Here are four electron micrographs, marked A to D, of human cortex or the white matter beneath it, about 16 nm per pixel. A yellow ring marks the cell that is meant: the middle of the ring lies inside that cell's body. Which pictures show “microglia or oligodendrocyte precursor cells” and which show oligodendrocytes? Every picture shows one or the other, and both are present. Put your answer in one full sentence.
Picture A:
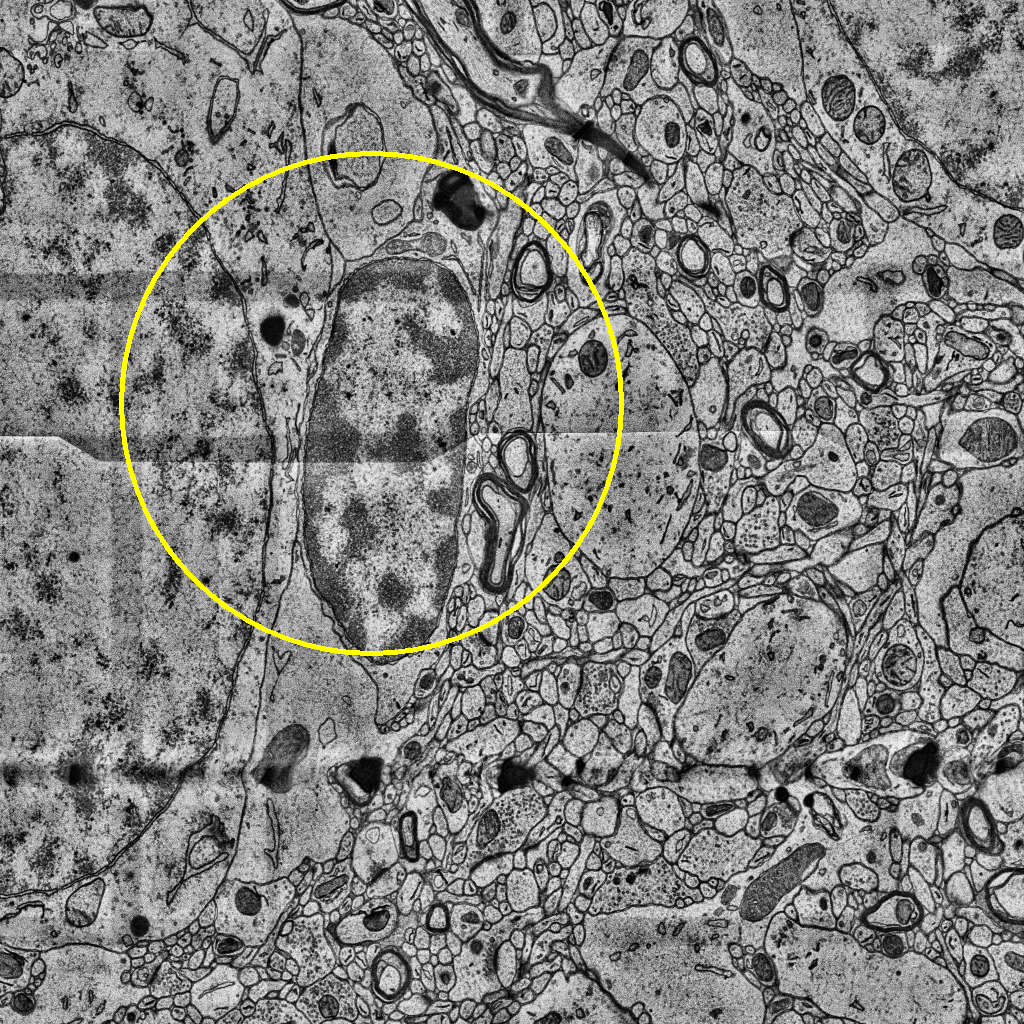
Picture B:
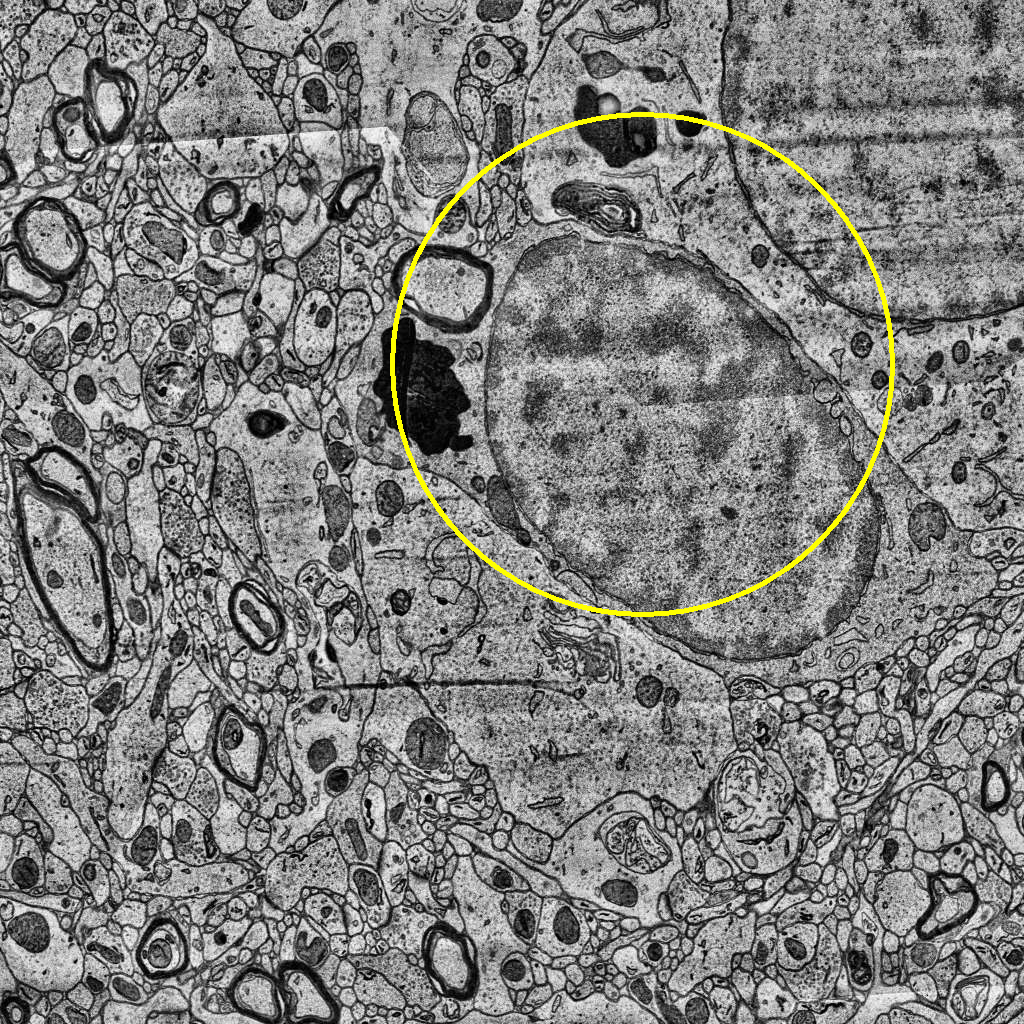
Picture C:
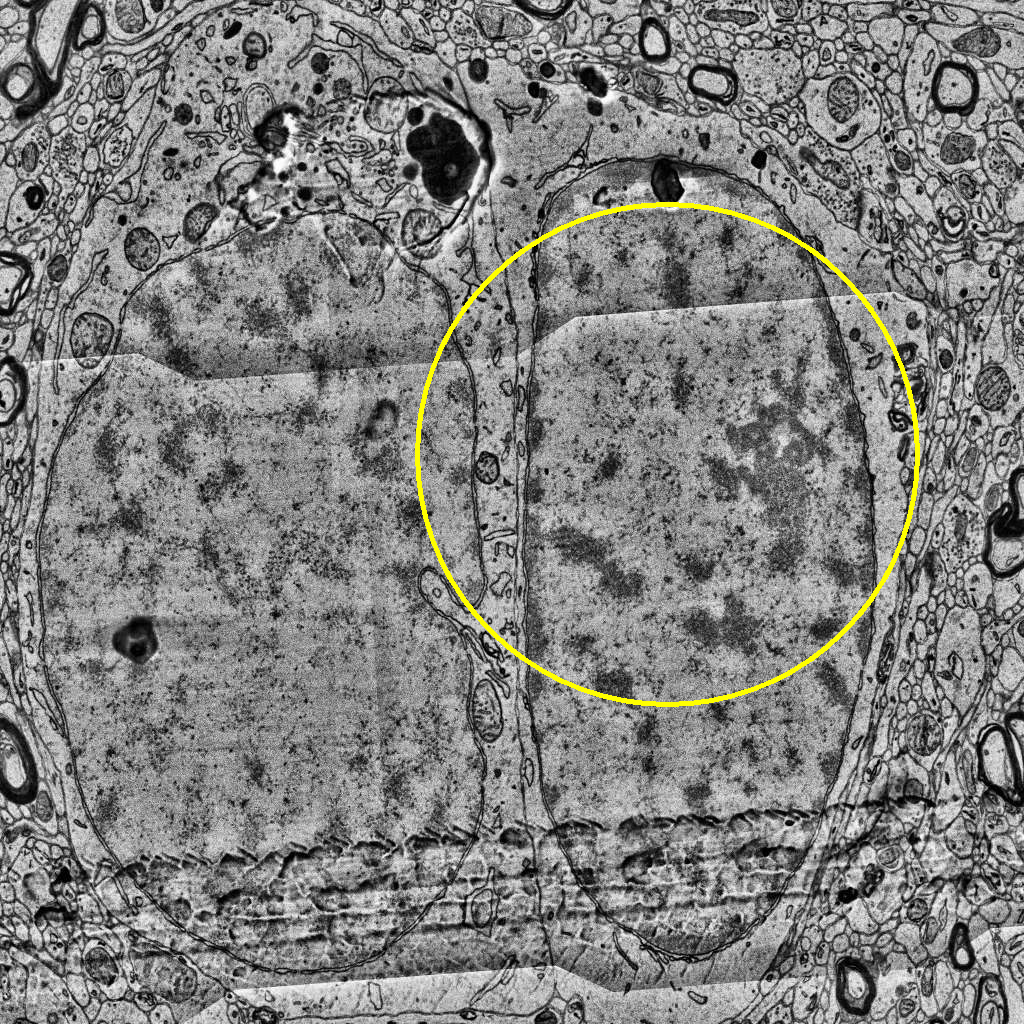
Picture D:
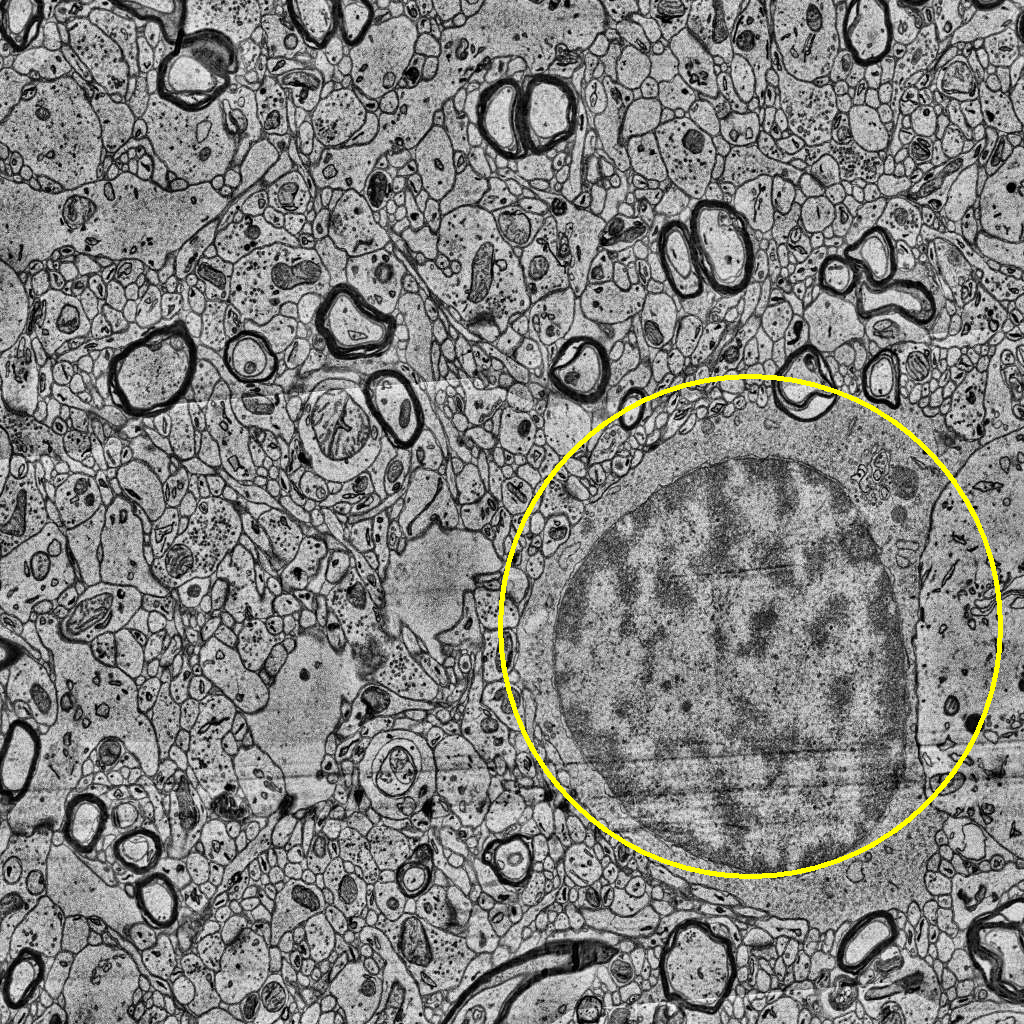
Pictures A and C show “microglia or oligodendrocyte precursor cells”, while pictures B and D show oligodendrocytes.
